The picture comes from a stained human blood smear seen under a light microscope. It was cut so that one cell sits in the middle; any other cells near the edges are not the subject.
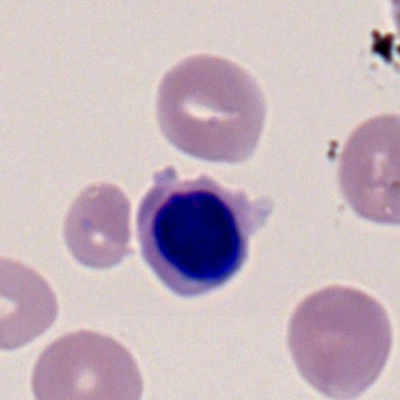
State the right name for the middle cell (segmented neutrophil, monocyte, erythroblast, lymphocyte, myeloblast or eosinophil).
erythroblast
